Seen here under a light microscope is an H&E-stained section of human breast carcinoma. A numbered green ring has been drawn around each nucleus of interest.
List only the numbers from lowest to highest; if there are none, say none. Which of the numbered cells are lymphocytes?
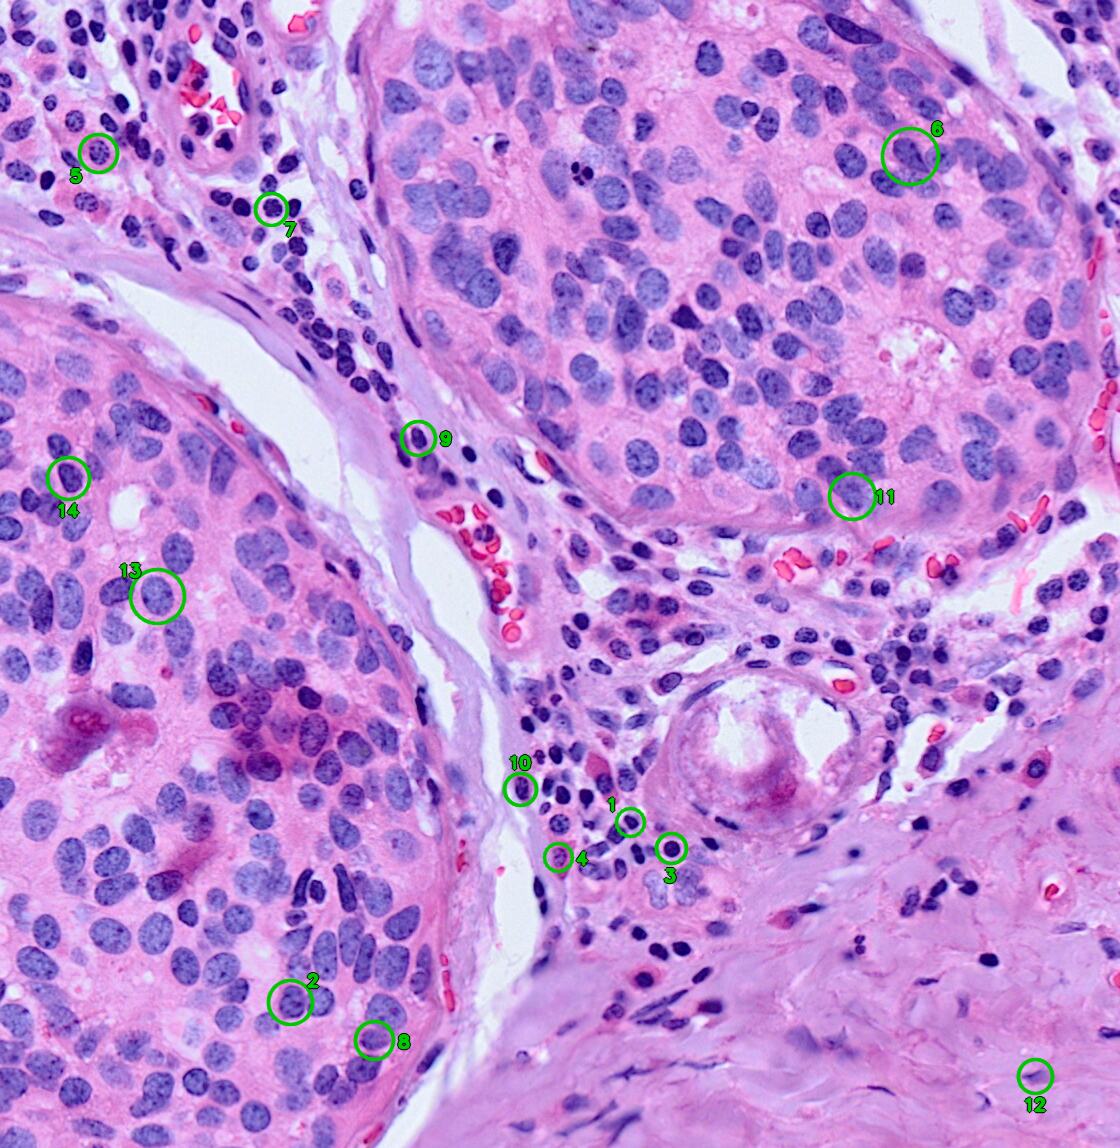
1, 3, 7, 9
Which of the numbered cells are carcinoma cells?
2, 6, 8, 11, 13, 14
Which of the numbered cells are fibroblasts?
12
